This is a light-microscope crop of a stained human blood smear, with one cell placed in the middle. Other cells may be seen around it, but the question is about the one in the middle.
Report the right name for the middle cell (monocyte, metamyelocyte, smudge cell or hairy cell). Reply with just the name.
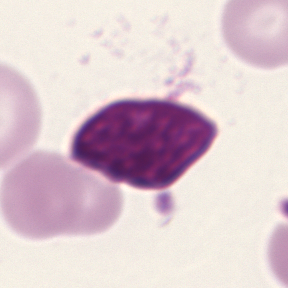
smudge cell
